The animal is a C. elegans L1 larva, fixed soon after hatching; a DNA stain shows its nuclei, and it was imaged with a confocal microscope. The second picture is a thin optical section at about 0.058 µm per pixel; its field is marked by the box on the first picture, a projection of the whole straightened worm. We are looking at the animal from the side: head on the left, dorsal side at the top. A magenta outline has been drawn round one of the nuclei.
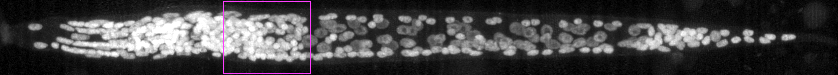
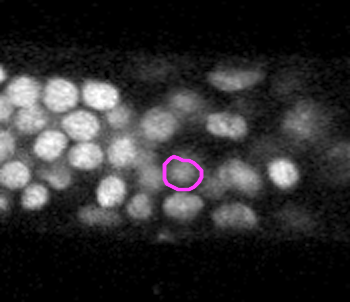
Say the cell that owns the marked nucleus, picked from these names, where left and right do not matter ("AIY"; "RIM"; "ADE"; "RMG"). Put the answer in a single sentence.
This is the nucleus of ADE, a neuron.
